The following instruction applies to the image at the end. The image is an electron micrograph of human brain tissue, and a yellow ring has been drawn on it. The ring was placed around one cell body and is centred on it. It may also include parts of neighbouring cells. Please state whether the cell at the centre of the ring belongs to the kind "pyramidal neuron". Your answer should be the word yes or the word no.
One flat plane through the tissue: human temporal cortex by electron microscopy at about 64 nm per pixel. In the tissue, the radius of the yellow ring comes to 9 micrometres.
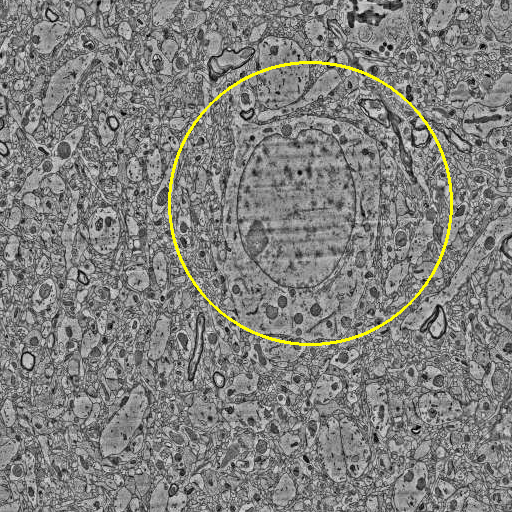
yes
